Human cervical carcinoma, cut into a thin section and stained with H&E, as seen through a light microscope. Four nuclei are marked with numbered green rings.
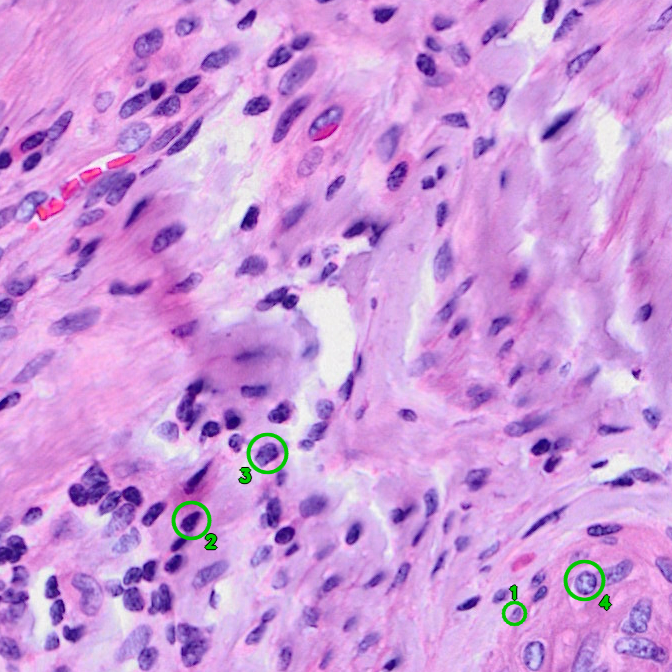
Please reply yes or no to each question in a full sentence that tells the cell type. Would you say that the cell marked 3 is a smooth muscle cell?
No, cell 3 is a lymphocyte, not a smooth muscle cell.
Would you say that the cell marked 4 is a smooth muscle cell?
Yes, that is right: the cell labelled 4 is a smooth muscle cell.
